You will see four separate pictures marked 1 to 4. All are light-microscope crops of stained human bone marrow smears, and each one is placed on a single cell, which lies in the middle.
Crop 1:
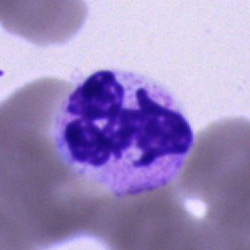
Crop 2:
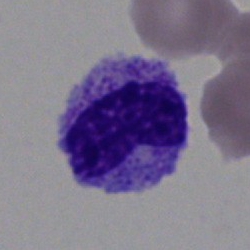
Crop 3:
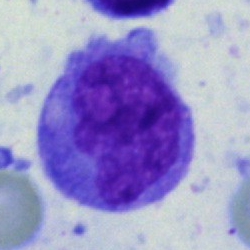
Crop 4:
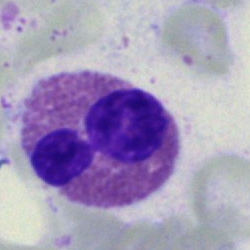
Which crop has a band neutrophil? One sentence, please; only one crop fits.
Crop 2, and no other, is the one that shows a band neutrophil.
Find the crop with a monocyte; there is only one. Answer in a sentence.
Look at crop 3; that is the one with a monocyte in its center.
